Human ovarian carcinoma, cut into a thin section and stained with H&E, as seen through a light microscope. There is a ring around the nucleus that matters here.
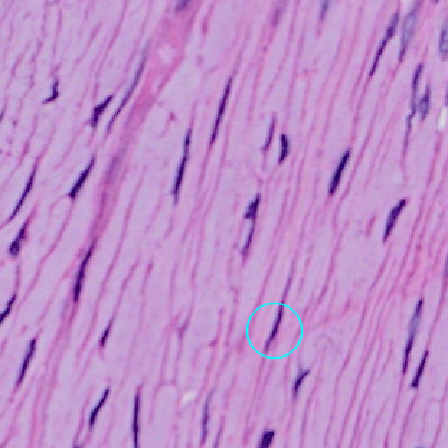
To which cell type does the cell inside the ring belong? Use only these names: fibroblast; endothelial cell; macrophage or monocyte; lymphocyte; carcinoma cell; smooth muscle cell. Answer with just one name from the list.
fibroblast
